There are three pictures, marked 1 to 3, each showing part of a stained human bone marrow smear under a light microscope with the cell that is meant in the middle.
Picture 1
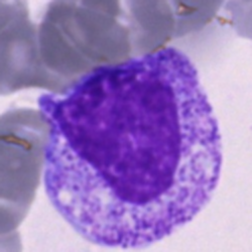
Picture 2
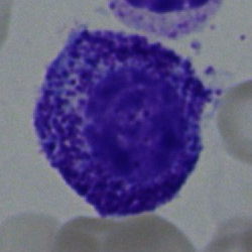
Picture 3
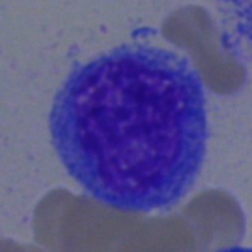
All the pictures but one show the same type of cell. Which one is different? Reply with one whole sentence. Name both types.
Picture 3 is the odd one out: it shows a blast, while the others show promyelocytes.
